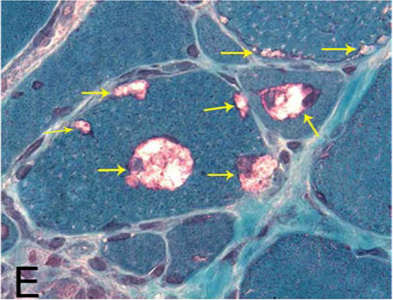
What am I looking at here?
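Cross-sectioned muscle fibers stained green-blue, several containing clear holes lined with red granules. The fibers are of varied size and separated by thin blue-green connective tissue with scattered dark nuclei. Inside the fibers lie round or irregular cavities of differing size, some large and central, others small near the fiber edge; each is pale inside and rimmed or partly filled with bright red, granular material. Some small cavities lie in a row along a fiber border. The rest of the fiber cytoplasm shows fine stippling.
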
